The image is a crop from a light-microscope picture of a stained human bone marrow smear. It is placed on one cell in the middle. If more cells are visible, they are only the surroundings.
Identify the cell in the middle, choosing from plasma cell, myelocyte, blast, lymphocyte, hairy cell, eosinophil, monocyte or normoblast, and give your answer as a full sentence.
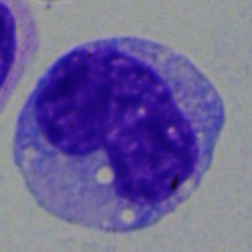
What the crop centres on is a monocyte.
